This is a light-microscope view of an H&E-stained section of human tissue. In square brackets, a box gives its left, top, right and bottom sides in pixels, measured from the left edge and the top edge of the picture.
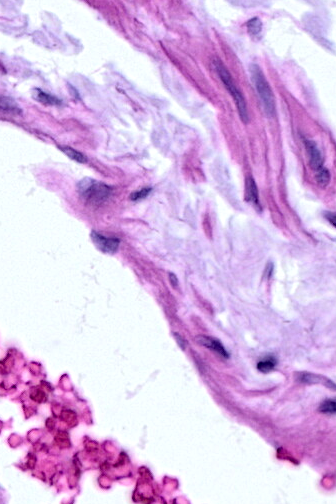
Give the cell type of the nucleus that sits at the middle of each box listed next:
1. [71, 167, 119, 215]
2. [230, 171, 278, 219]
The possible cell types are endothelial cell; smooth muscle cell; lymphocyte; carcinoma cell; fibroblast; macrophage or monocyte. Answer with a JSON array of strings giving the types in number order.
["endothelial cell", "smooth muscle cell"]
